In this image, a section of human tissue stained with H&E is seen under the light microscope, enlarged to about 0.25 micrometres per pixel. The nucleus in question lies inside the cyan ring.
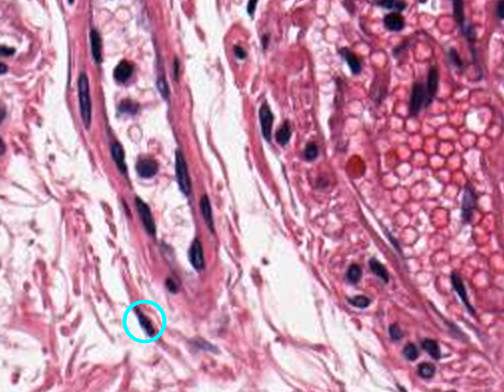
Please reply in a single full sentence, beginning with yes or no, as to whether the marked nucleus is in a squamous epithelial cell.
No, the marked nucleus is assigned not to a squamous epithelial cell but to a supporting cell.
